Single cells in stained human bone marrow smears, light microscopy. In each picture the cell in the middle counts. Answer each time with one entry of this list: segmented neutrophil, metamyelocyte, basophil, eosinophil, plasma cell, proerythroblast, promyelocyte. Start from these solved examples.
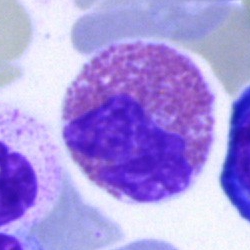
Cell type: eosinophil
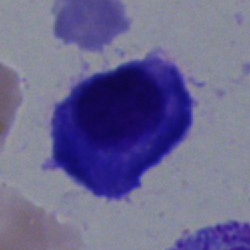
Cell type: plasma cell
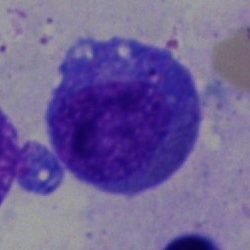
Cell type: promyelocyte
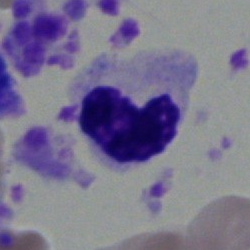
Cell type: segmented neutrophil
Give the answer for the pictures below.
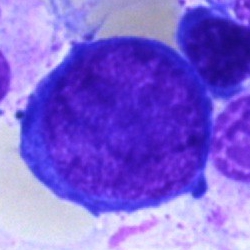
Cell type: proerythroblast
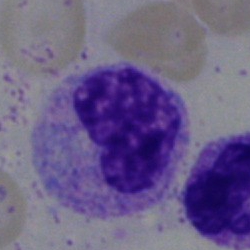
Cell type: metamyelocyte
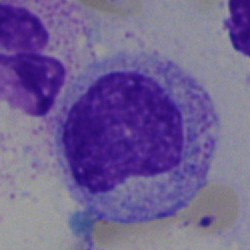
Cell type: metamyelocyte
